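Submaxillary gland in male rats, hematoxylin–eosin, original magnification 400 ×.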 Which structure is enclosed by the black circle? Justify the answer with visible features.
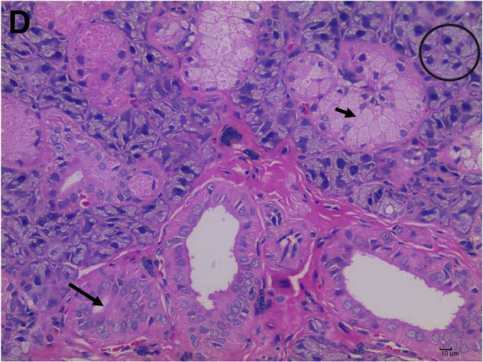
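The circle encloses a small cluster of cells with dark, basally placed round nuclei. The cells have finely granular purple cytoplasm. Such small clustered cells fill most of the field between larger structures.
Hence: serous acini.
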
